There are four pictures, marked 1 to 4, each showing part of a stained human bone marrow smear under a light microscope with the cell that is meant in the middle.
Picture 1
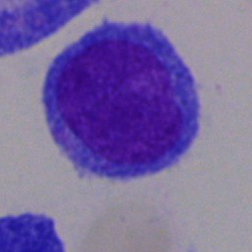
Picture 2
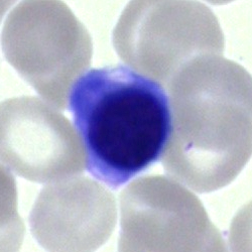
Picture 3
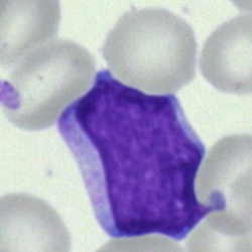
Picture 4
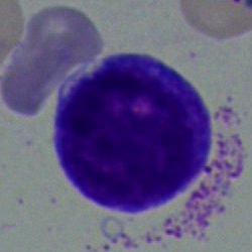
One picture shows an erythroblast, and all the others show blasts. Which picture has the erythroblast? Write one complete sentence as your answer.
It is picture 2 that shows the erythroblast.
